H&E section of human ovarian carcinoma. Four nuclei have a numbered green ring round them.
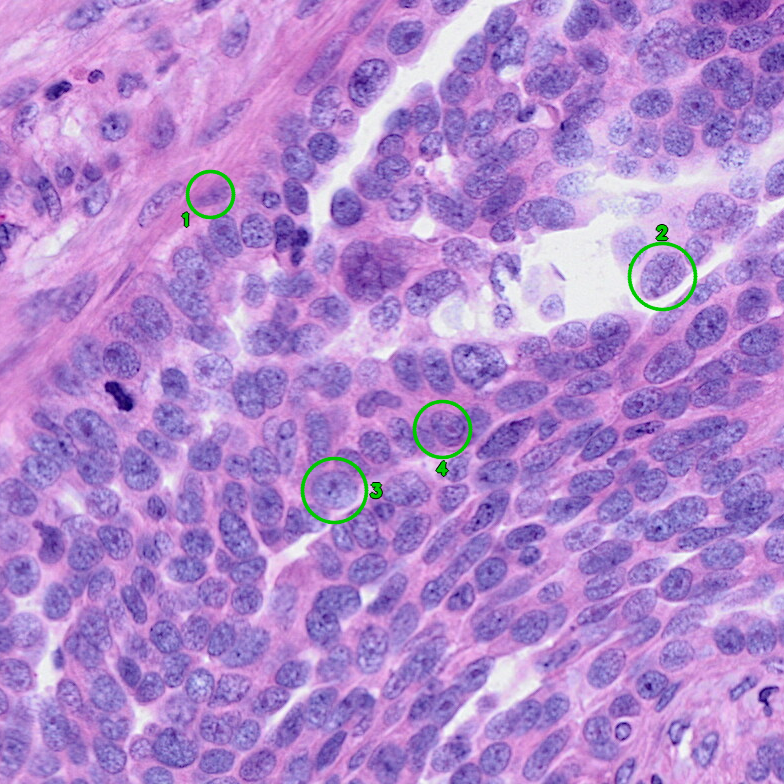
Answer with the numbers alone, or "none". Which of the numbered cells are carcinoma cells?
2, 3, 4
